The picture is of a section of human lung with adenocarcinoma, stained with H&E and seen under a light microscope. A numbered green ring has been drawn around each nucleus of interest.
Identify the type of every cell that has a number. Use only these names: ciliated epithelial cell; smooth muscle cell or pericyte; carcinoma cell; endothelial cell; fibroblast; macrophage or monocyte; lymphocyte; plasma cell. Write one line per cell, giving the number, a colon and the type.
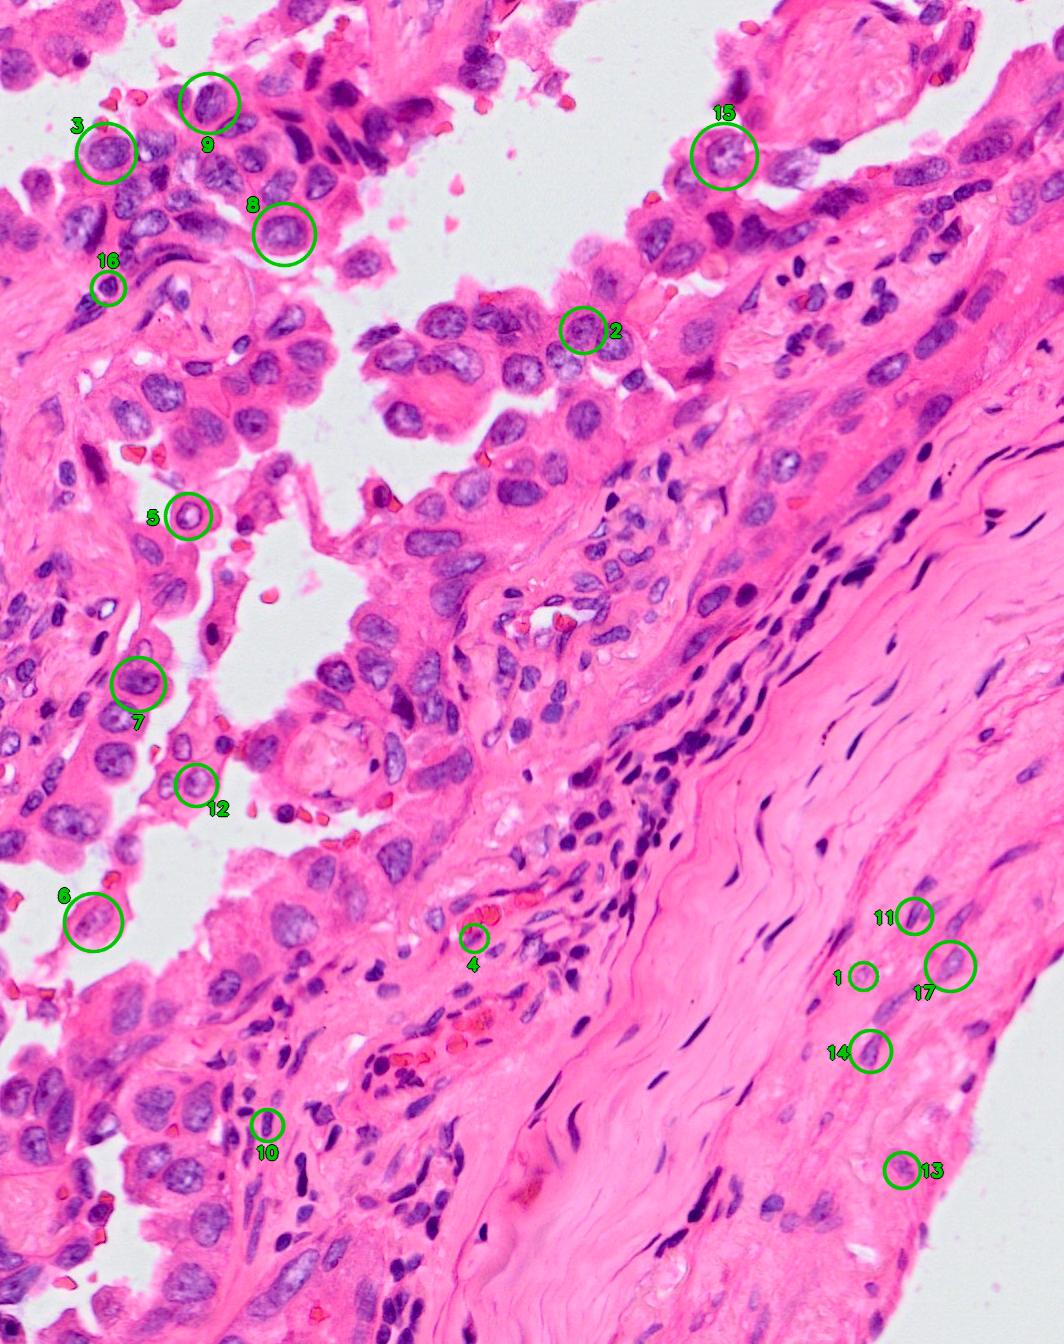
1: smooth muscle cell or pericyte
2: carcinoma cell
3: carcinoma cell
4: endothelial cell
5: macrophage or monocyte
6: macrophage or monocyte
7: carcinoma cell
8: carcinoma cell
9: carcinoma cell
10: lymphocyte
11: smooth muscle cell or pericyte
12: macrophage or monocyte
13: smooth muscle cell or pericyte
14: smooth muscle cell or pericyte
15: carcinoma cell
16: lymphocyte
17: smooth muscle cell or pericyte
